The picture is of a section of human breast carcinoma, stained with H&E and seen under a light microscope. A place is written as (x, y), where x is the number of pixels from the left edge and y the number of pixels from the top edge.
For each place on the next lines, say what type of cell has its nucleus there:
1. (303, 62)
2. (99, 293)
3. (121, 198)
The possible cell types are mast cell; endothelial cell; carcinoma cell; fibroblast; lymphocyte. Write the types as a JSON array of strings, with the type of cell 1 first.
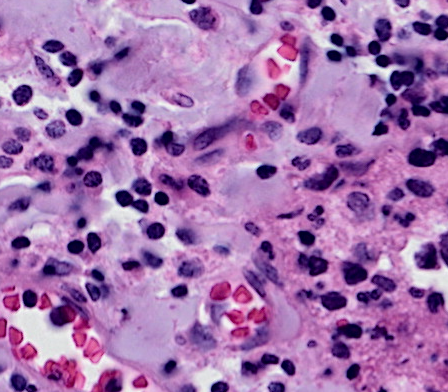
["endothelial cell", "lymphocyte", "lymphocyte"]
